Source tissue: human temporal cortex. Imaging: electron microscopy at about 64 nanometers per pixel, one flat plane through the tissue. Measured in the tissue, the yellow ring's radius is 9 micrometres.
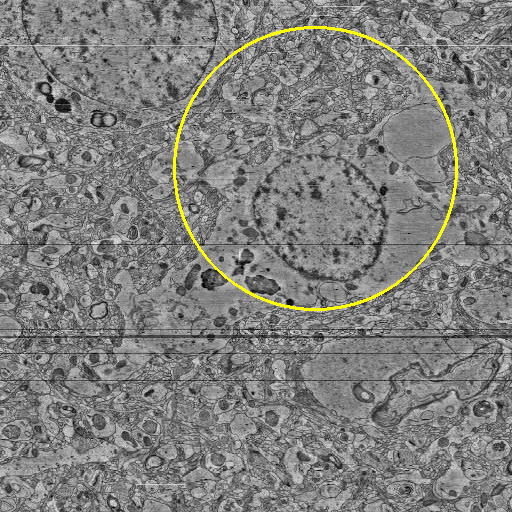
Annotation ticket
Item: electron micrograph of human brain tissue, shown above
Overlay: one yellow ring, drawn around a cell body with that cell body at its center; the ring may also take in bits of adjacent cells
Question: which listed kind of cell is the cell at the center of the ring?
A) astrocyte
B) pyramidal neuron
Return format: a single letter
A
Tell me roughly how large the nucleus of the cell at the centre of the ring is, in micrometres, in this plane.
Roughly 8 micrometers across in this plane.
